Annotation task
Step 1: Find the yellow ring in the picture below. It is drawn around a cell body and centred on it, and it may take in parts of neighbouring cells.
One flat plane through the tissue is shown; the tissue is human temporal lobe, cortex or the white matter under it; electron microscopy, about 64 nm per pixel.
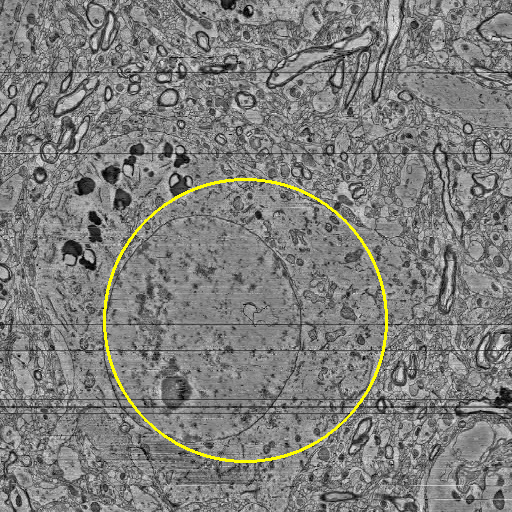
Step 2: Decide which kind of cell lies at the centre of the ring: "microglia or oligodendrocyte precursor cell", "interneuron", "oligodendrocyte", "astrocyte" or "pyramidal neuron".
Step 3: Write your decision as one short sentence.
The kind of cell at the ring's centre is a pyramidal neuron.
